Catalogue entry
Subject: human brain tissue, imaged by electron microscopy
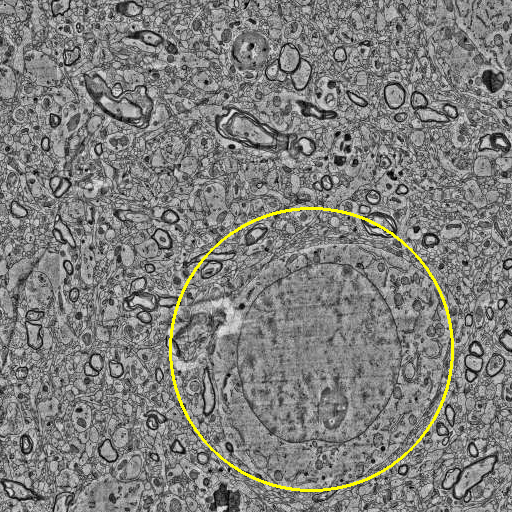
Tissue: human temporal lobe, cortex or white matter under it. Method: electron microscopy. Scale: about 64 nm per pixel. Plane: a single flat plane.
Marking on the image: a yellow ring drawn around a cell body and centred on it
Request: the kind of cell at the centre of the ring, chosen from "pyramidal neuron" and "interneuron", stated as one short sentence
The ring has a pyramidal neuron at its centre.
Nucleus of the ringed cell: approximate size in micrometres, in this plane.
In this plane the nucleus is about 11 micrometres across.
